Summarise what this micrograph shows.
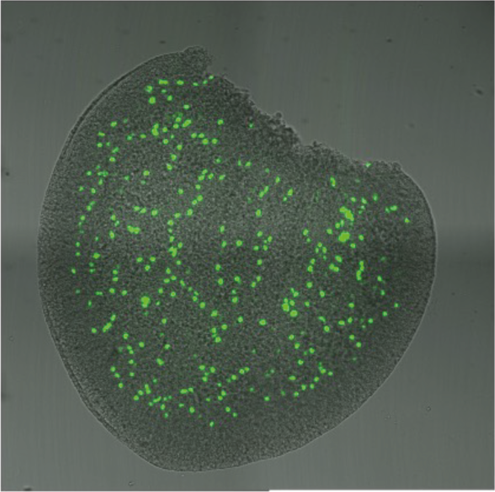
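Green fluorescence is overlaid on it. The fragment is roughly rounded, with a notched and ragged edge at the upper right. Many small, bright green dots of about the size of single nuclei are scattered through its interior, fairly evenly spread and sparser toward the margins.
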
